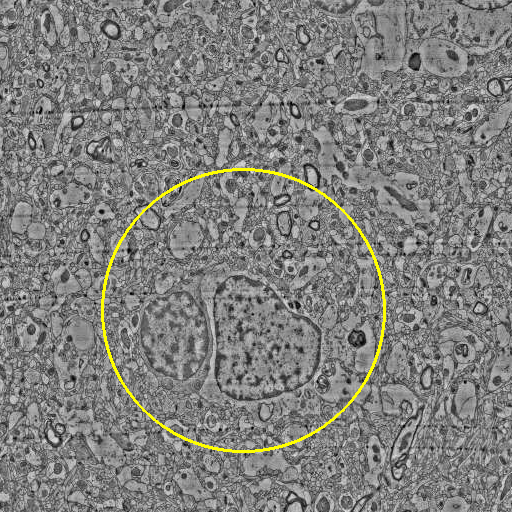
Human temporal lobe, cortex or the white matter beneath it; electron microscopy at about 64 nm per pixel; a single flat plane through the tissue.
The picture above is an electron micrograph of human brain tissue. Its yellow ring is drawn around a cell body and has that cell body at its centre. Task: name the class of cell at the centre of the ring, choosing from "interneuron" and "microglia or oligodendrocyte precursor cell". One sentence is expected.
The ring surrounds the body of a microglial cell or oligodendrocyte precursor cell.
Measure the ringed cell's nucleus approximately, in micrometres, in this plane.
In this plane, approximately 8 micrometres across.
